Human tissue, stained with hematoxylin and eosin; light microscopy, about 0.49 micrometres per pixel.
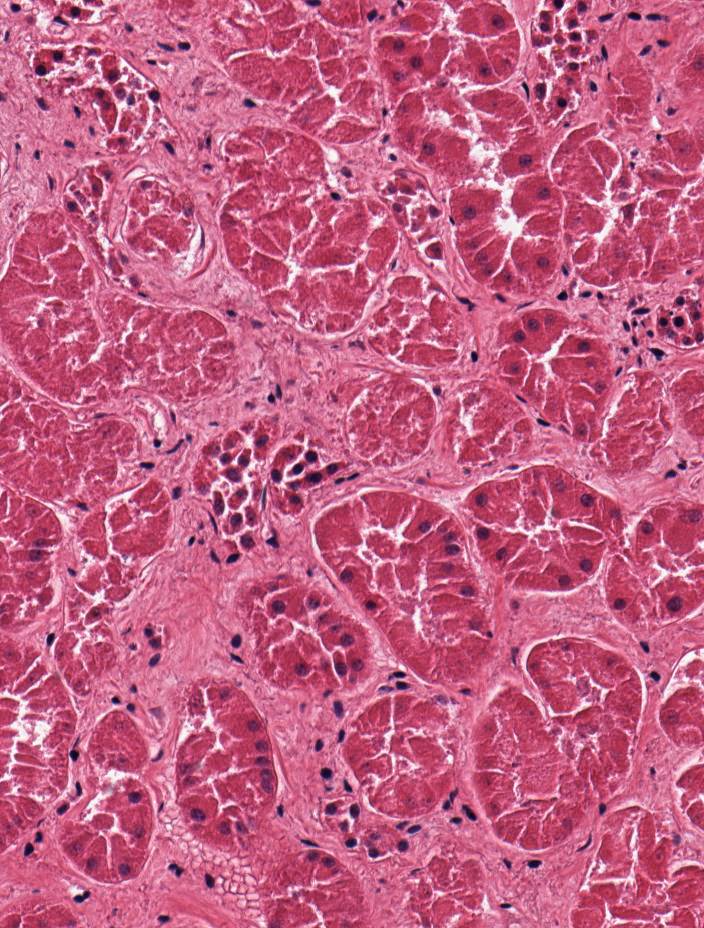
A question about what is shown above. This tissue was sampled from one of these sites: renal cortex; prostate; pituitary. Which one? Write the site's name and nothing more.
renal cortex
